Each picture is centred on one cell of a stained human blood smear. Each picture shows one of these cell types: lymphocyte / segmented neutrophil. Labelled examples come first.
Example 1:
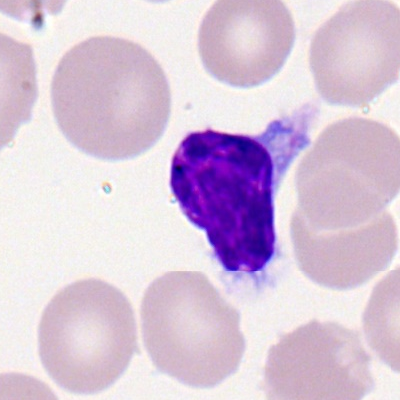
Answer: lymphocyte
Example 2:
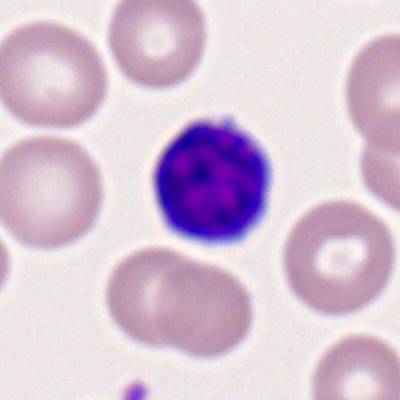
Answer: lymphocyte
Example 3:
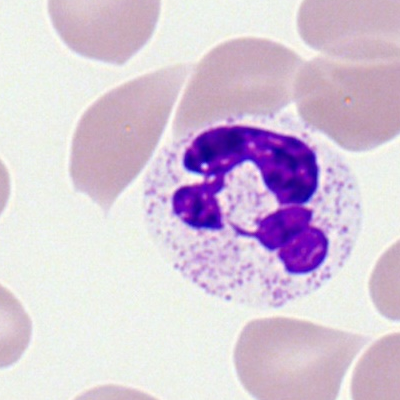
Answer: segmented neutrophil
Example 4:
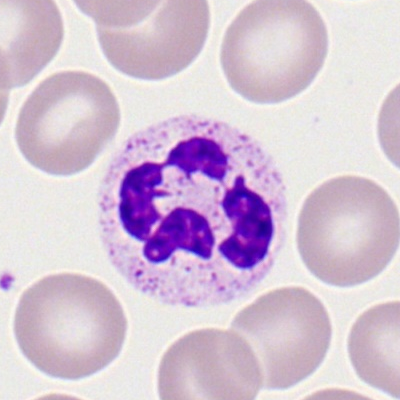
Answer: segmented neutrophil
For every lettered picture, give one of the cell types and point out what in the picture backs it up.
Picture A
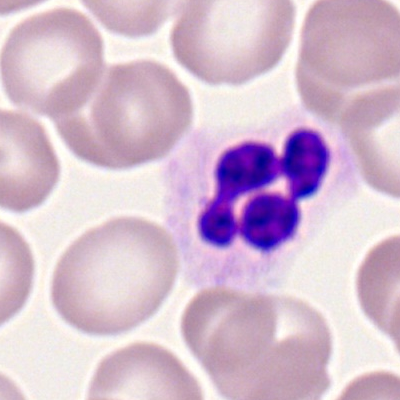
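segmented neutrophil. The nucleus is divided into four separate lobes.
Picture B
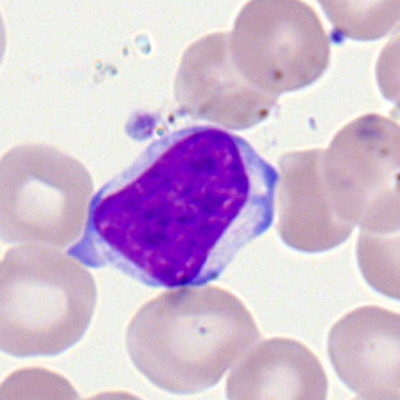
lymphocyte. The nucleus is a single unlobed mass.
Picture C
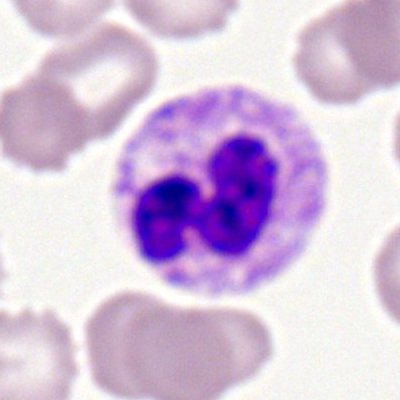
segmented neutrophil. The cytoplasm is abundant and pale lilac-pink.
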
